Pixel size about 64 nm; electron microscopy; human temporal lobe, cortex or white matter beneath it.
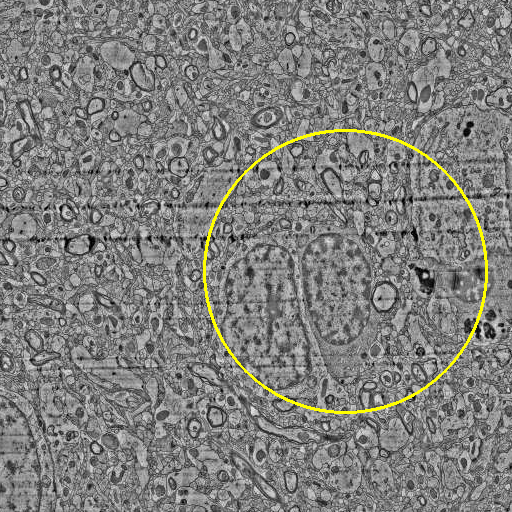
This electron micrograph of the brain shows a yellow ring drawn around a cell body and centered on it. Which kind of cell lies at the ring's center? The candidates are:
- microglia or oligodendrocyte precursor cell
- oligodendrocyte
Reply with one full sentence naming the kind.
The cell lying at the ring's center in this micrograph is an oligodendrocyte.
